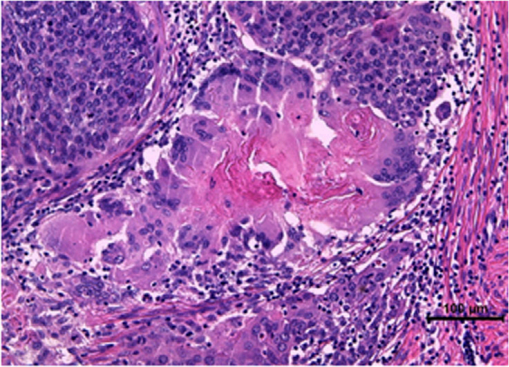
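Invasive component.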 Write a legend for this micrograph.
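A nest of tumour cells holds at its centre a swirl of bright pink, layered keratinous material. Around it lie large pale-pink cells with many nuclei, some nuclei gathered at the cell edge and others scattered through the cytoplasm. Small dark lymphocytes line the edge of the nest and pink fibrous stroma runs along the right. This is a keratin pearl surrounded by Langhans-like and osteoclast-like giant cells.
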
